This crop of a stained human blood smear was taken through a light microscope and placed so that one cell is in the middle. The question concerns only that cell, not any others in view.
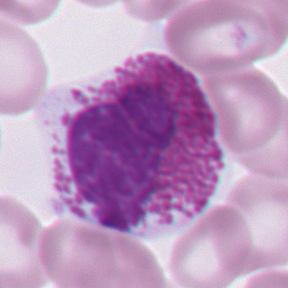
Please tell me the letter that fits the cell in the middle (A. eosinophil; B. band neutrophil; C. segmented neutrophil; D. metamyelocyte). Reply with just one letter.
A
